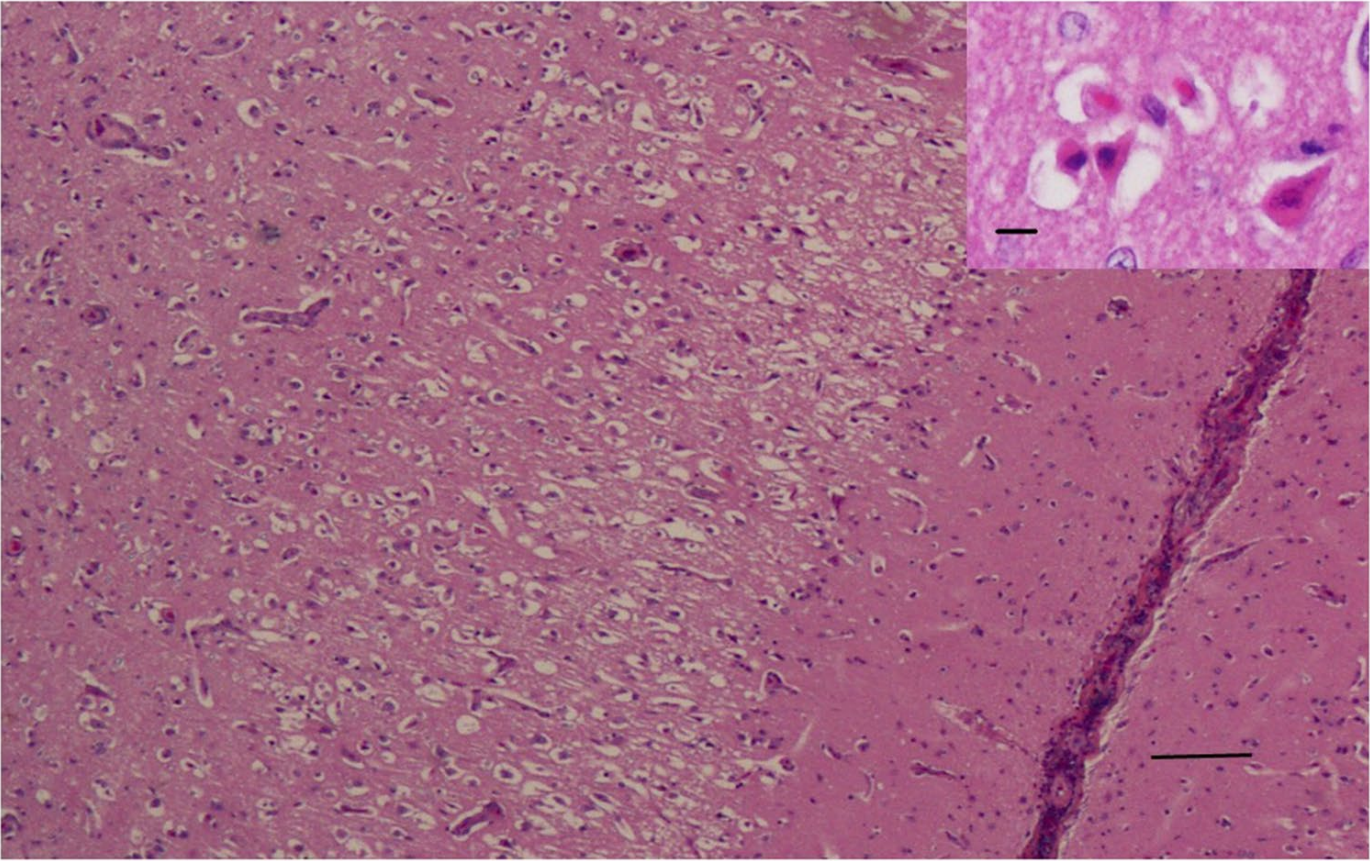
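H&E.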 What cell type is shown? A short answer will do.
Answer: Red neurons.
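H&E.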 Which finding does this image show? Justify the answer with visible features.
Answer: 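A broad band of cortex running diagonally across the field is pale and spongy, with many clear spaces around cells. The tissue at the right, beside the blood vessel, is more compact and evenly pink. On this evidence: pseudolaminar cerebrocortical necrosis.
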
